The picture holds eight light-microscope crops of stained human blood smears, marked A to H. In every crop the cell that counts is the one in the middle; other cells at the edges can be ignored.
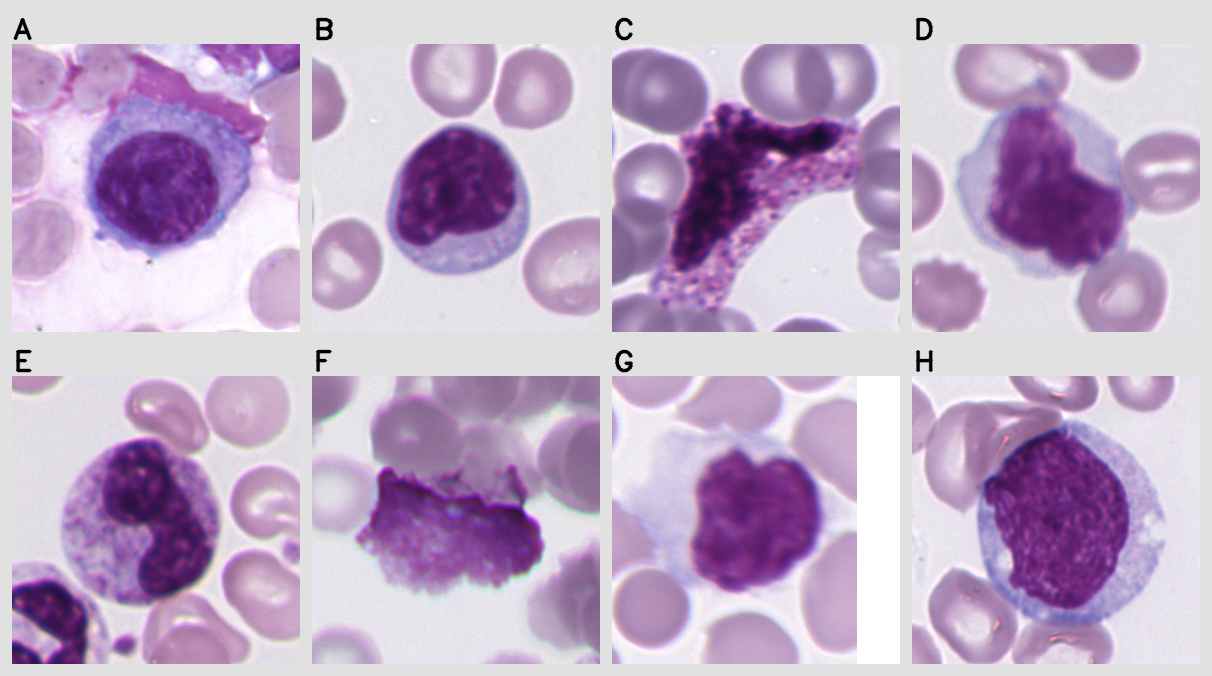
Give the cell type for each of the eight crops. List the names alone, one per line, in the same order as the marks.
plasma cell
large granular lymphocyte
basophil
large granular lymphocyte
band neutrophil
smudge cell
hairy cell
monocyte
